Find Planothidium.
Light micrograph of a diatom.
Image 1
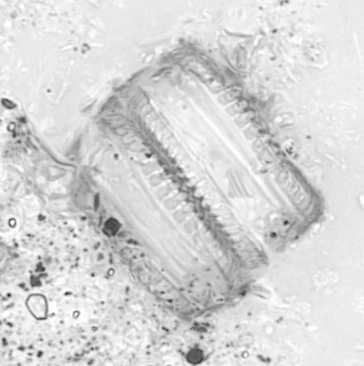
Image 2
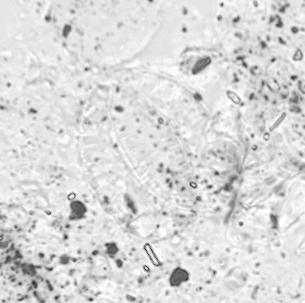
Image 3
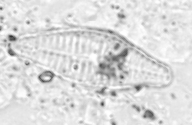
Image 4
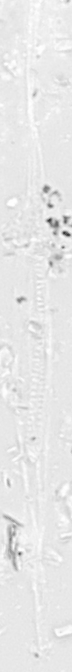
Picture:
3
